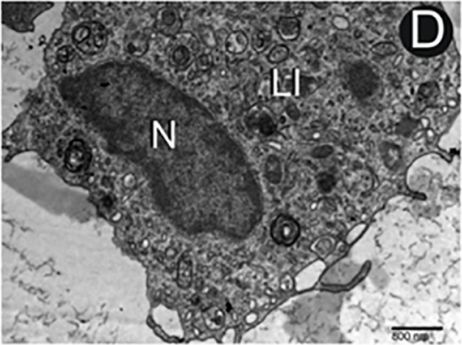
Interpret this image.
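An oval nucleus with finely granular chromatin lies toward one side of the cell. The surrounding cytoplasm is packed with many round membrane-bound bodies, some pale and empty-looking, others with dark concentric membrane rings, which correspond to intracellular lipid inclusion bodies. The cell border is irregular, with thin folds and projections at its edge.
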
